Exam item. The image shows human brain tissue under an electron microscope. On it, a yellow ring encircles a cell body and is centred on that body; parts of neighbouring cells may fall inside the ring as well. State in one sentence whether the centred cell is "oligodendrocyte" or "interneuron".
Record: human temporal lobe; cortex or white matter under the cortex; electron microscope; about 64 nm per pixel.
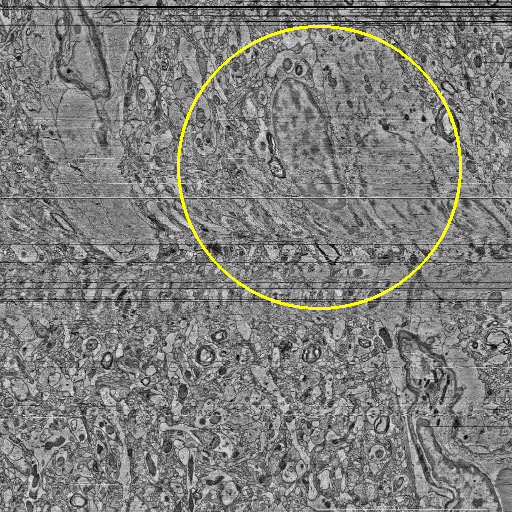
The cell body centred in the ring is an oligodendrocyte.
